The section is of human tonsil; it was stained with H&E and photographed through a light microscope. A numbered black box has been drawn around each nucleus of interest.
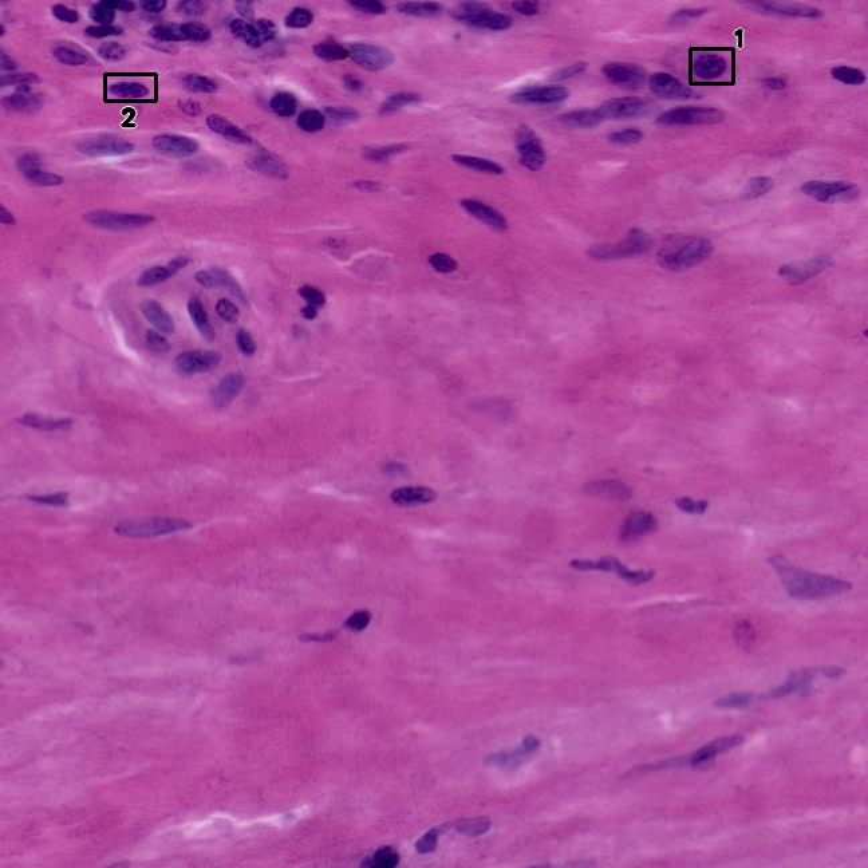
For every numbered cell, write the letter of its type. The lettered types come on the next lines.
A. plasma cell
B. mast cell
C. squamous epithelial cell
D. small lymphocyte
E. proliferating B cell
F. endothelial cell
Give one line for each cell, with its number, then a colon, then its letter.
1: A
2: B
